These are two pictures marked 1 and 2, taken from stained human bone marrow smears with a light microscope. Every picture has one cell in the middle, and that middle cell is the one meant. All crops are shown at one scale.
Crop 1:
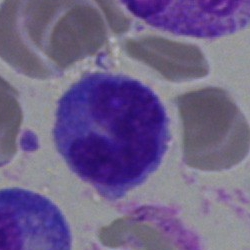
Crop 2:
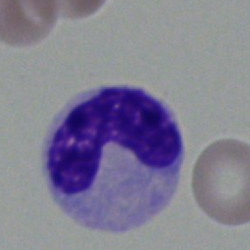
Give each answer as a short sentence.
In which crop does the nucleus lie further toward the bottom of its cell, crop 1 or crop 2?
It is the nucleus in crop 1 that lies further toward the bottom of its cell.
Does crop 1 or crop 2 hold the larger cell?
Larger is the cell in crop 2, at roughly 1.5 times the area of the other.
